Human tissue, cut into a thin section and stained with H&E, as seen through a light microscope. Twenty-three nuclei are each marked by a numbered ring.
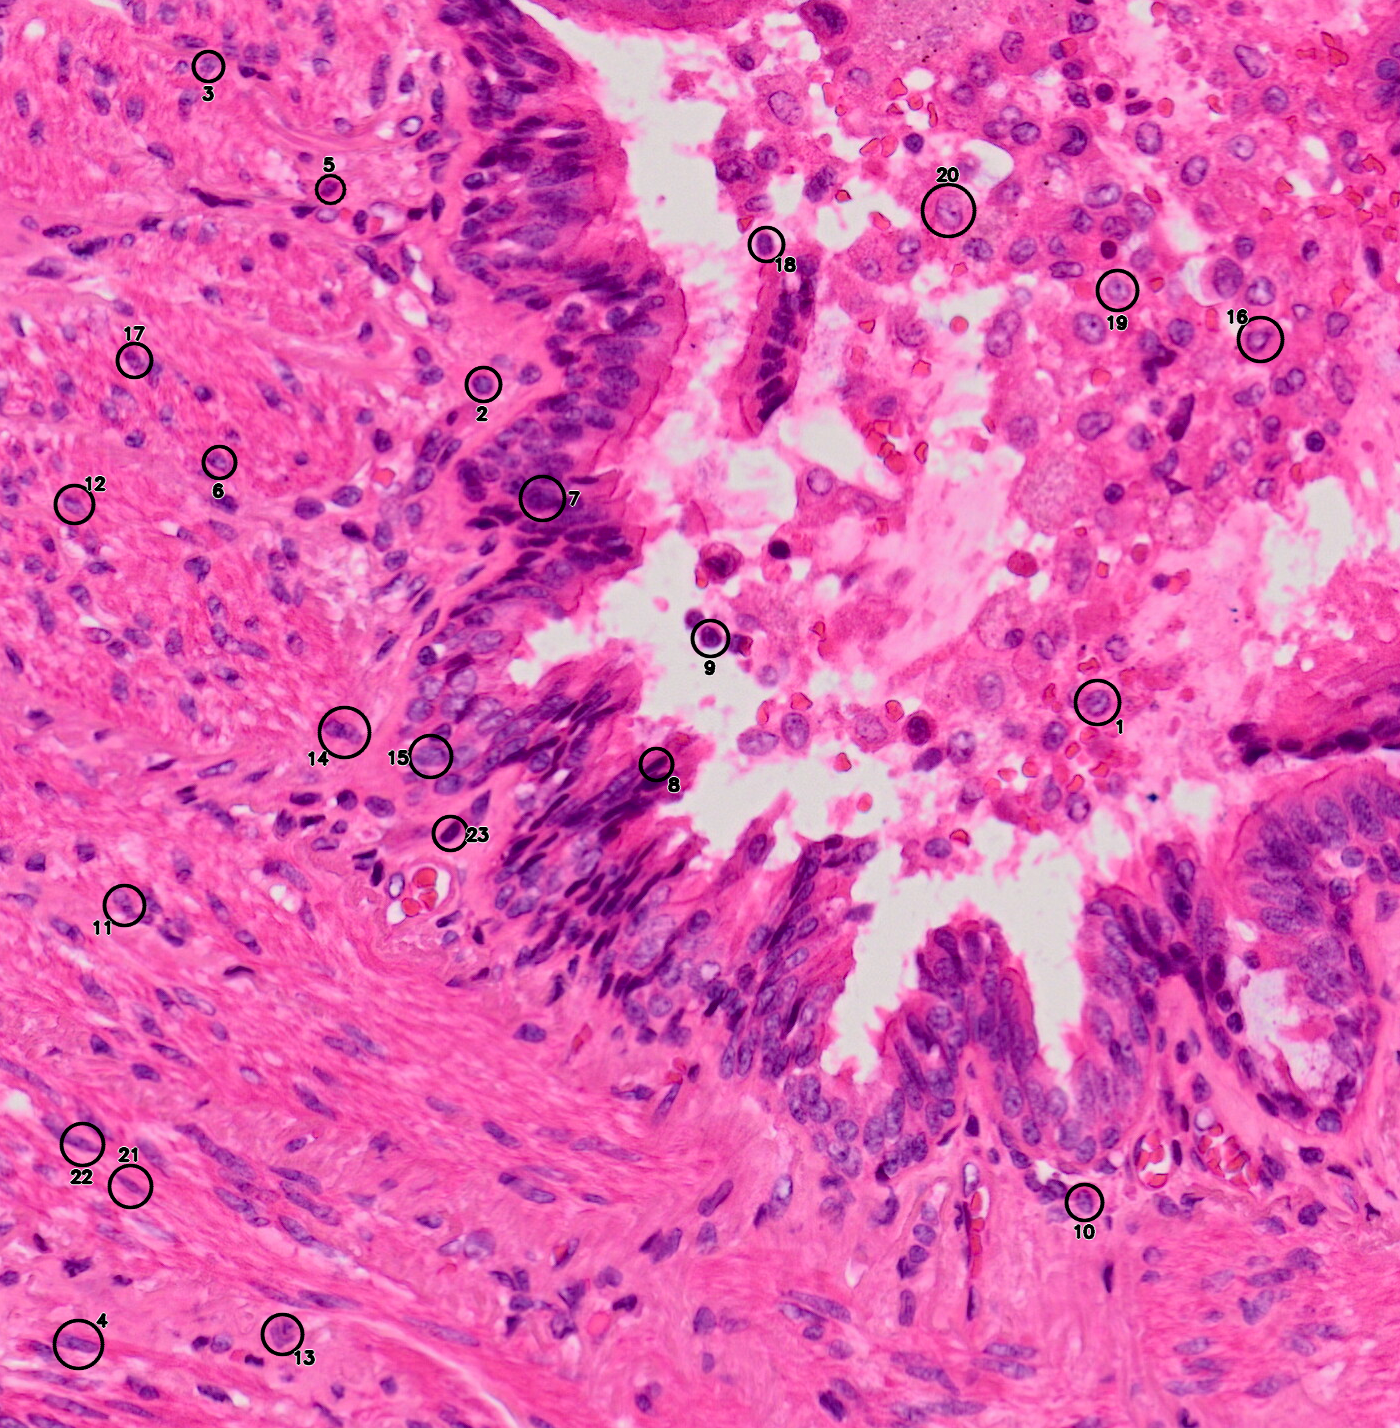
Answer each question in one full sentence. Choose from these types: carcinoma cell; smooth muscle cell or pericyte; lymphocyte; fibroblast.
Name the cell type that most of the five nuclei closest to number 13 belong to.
The majority of the five nuclei closest to number 13 belong to smooth muscle cells or pericytes.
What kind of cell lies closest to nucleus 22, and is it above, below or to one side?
It is a smooth muscle cell or pericyte, whose nucleus lies above and to the right of nucleus 22.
